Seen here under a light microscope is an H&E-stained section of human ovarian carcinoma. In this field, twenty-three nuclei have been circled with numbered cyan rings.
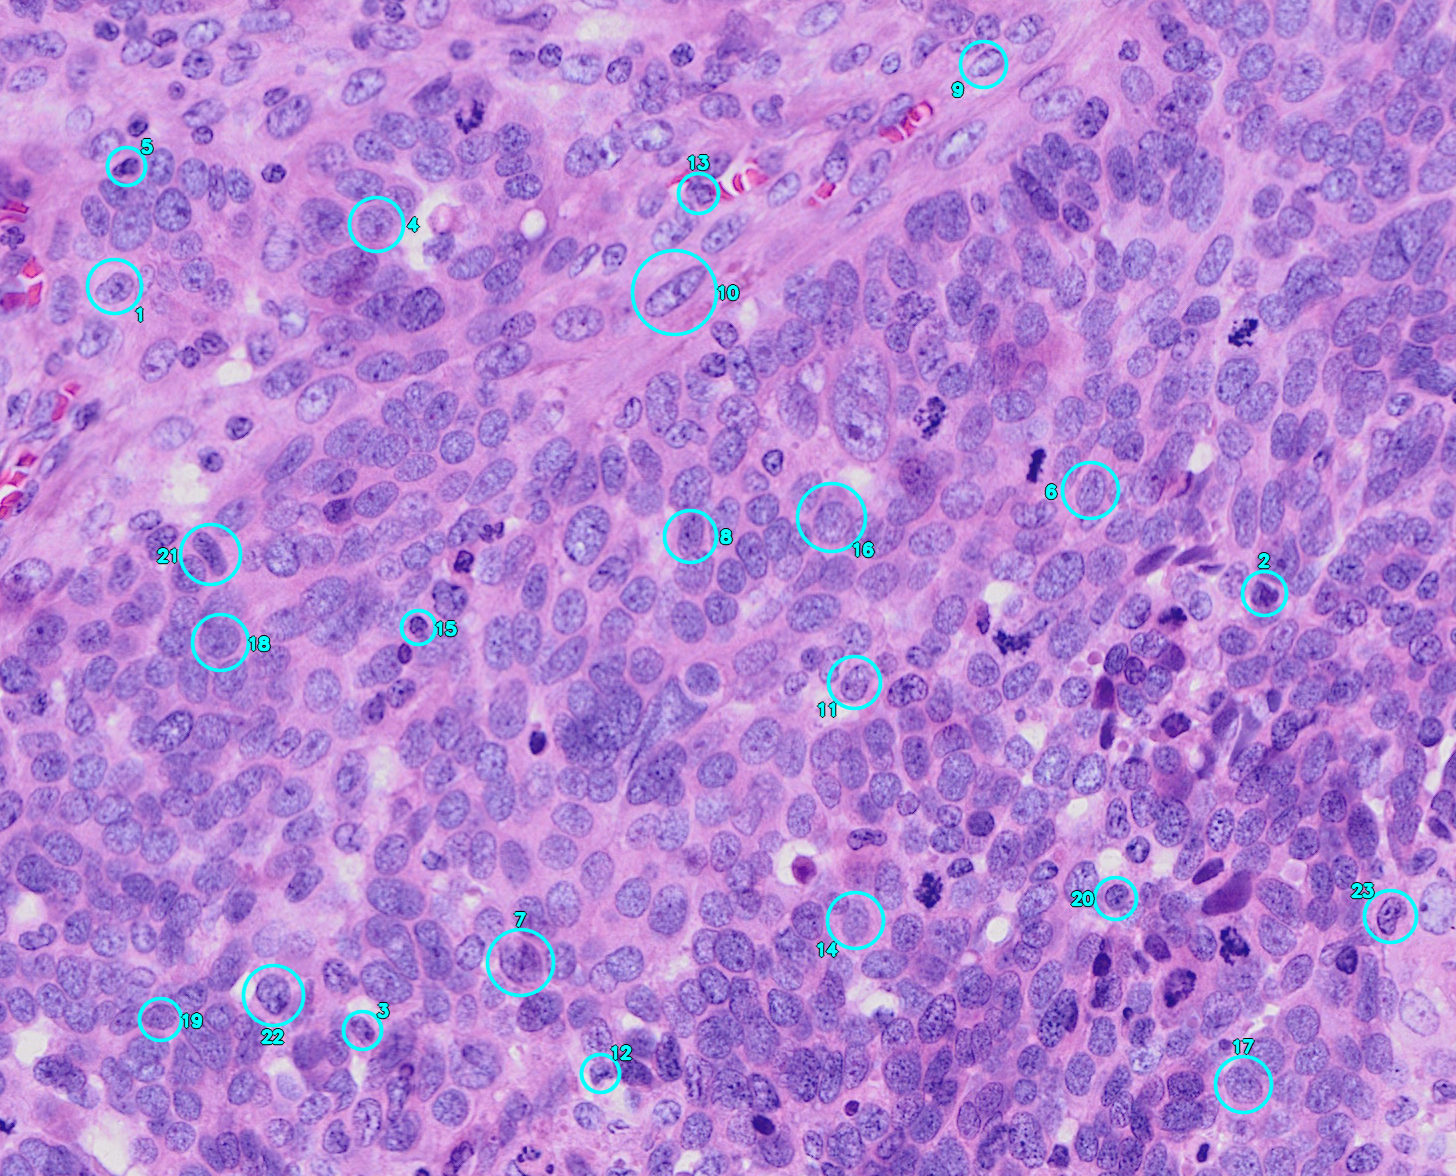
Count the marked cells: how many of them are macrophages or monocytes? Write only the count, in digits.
7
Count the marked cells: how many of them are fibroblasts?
2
